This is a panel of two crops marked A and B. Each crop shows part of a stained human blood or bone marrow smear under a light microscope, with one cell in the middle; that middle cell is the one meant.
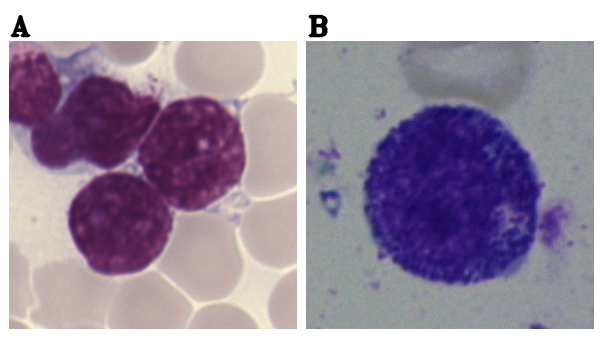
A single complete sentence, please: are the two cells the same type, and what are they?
No, a blast is the subject of crop A, and a myelocyte is the subject of crop B.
